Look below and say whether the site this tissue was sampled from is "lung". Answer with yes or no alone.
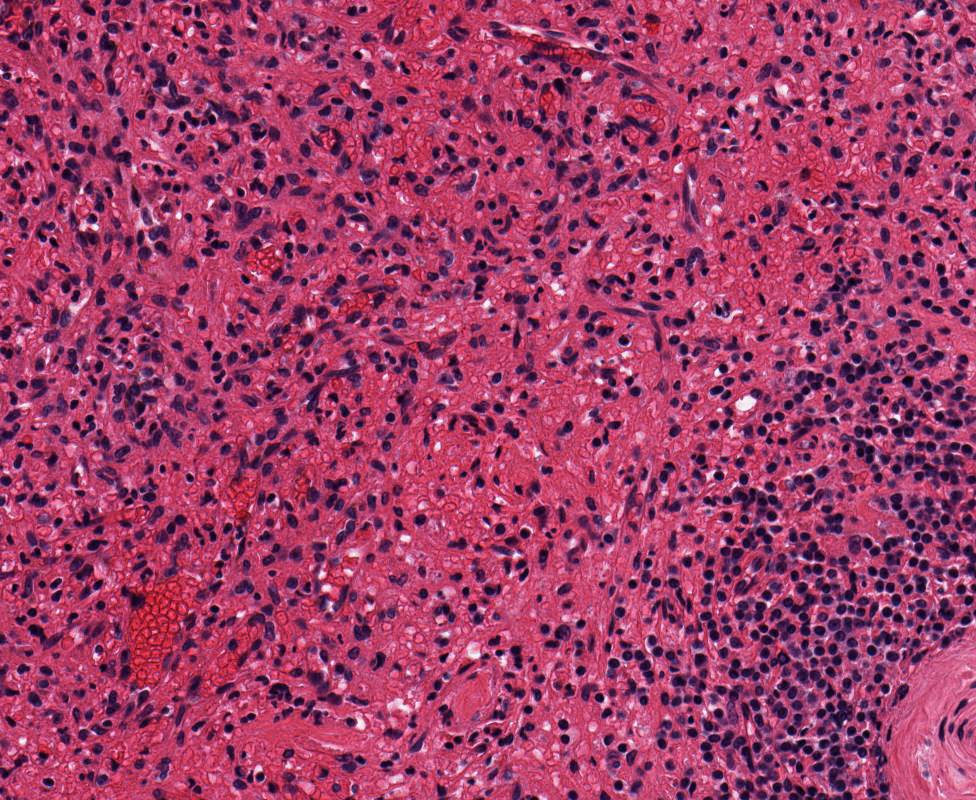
no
